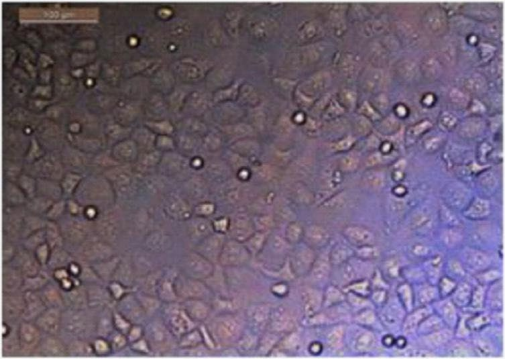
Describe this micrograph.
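The cells are polygonal and epithelial in form, lying closely side by side in a cobblestone-like pattern with some short angular projections. Scattered small round, bright refractile cells sit above the sheet, likely rounded or detached cells.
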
